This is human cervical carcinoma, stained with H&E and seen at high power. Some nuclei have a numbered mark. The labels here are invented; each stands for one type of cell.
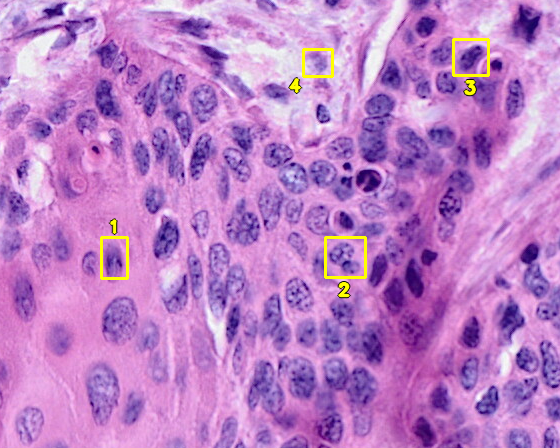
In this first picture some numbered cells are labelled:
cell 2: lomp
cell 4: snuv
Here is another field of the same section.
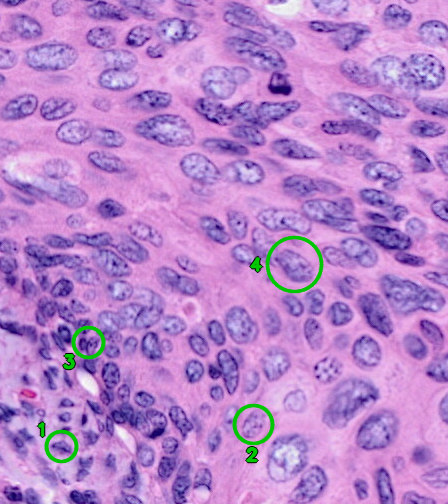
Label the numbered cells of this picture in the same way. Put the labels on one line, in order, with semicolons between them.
snuv; lomp; lomp; lomp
